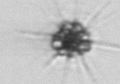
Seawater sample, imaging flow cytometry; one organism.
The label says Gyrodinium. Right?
Wrong: this is a radiolarian.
